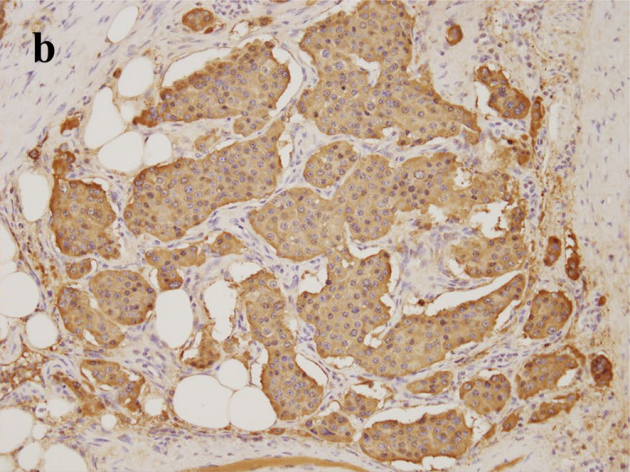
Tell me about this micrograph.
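Nests and cords of uniform polygonal cells lie in a fibrous stroma, with round fat cells scattered between and around the nests. The cells have round to oval, evenly sized nuclei and a moderate amount of cytoplasm that takes a diffuse, granular brown stain. Small clusters at the edges of the nests stain a deeper brown. The stroma between the nests holds spindle-shaped cells with blue nuclei and stays largely unstained.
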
